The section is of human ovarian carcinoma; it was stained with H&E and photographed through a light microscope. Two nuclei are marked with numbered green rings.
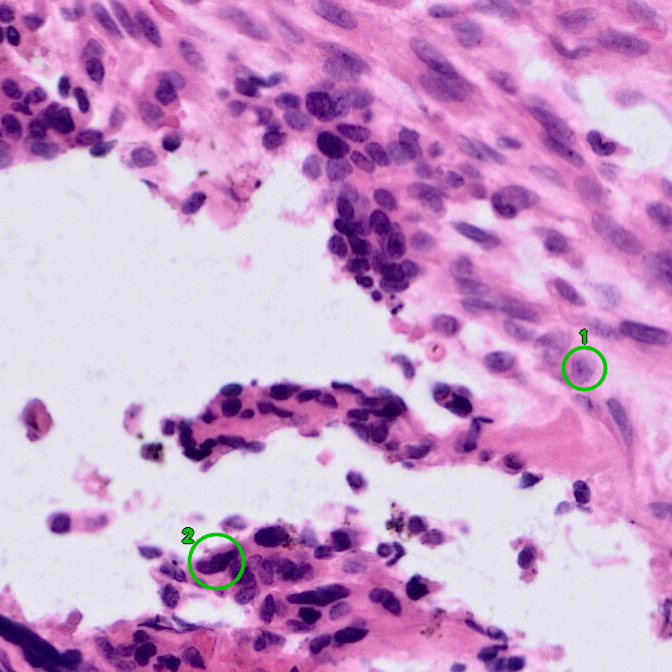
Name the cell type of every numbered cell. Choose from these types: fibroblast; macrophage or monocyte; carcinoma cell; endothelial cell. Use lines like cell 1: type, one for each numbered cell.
cell 1: fibroblast
cell 2: carcinoma cell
